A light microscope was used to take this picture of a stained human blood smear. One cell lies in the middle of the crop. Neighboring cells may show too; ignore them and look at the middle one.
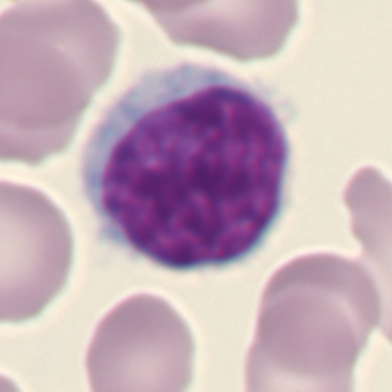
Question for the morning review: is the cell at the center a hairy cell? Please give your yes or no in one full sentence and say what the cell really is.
Yes, the identification of the central cell as a hairy cell is correct.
